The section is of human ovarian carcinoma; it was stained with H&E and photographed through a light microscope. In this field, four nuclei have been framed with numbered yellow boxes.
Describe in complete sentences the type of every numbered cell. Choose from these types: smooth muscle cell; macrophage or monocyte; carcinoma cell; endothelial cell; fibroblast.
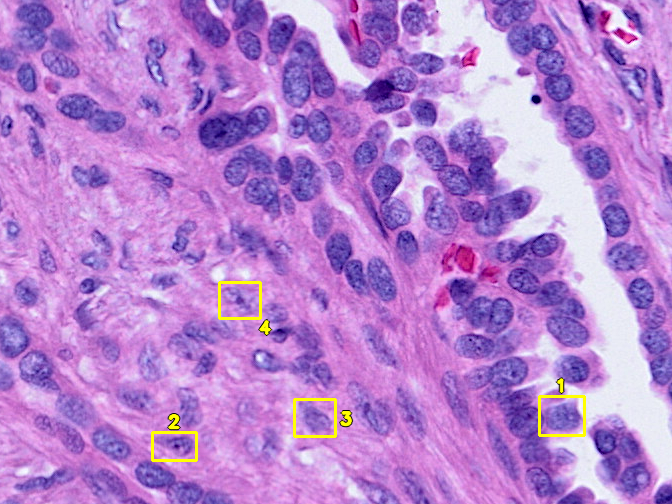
Cell 1 is a carcinoma cell, cell 2 is a fibroblast, cell 3 is a fibroblast and cell 4 is a fibroblast.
